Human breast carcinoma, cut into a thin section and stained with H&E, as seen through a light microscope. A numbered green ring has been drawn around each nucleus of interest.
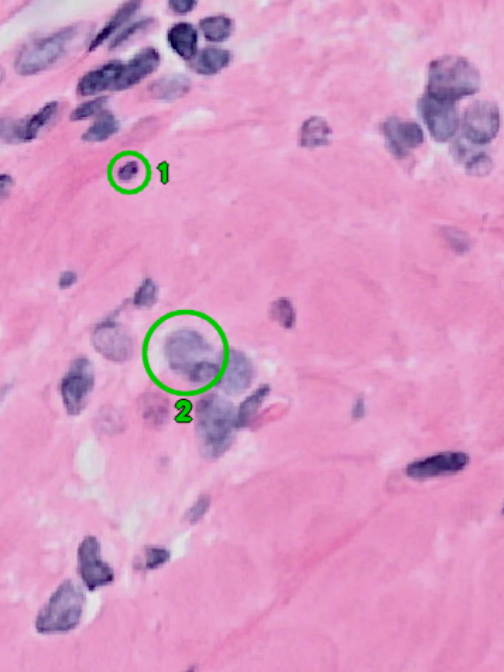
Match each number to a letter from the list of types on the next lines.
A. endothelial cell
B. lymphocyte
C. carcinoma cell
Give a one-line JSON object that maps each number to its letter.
{"1": "B", "2": "C"}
